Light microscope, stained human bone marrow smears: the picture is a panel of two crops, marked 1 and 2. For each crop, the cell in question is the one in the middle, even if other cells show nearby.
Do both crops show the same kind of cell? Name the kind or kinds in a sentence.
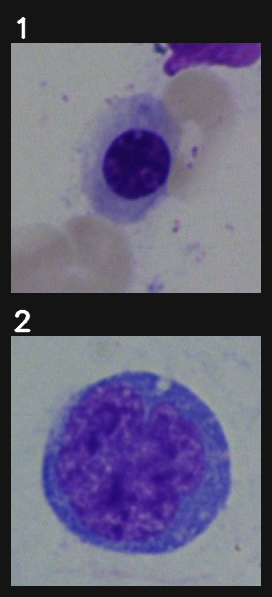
No, the cell shown in crop 1 is a normoblast, and the cell shown in crop 2 is a blast.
